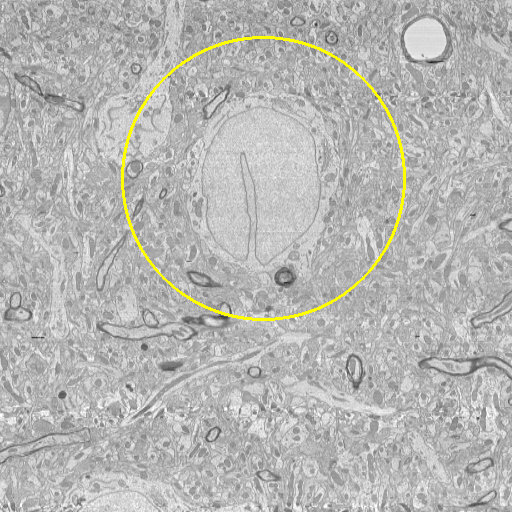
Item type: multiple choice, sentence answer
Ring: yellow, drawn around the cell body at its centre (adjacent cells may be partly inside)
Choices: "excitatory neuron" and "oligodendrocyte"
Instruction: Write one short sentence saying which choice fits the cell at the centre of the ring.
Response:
This ring is drawn around an excitatory neuron.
